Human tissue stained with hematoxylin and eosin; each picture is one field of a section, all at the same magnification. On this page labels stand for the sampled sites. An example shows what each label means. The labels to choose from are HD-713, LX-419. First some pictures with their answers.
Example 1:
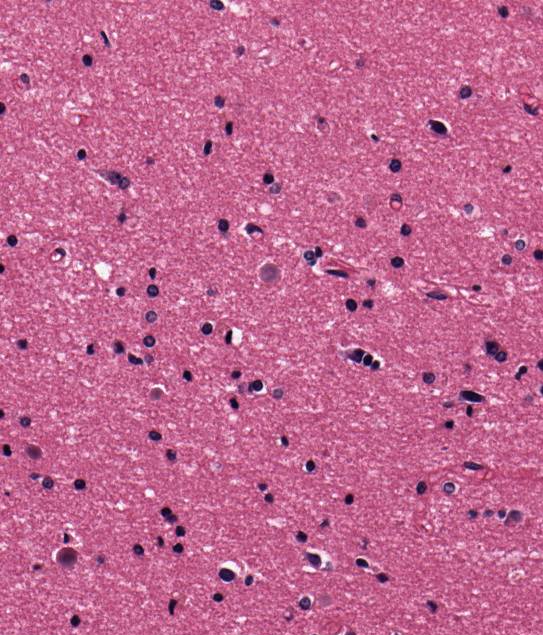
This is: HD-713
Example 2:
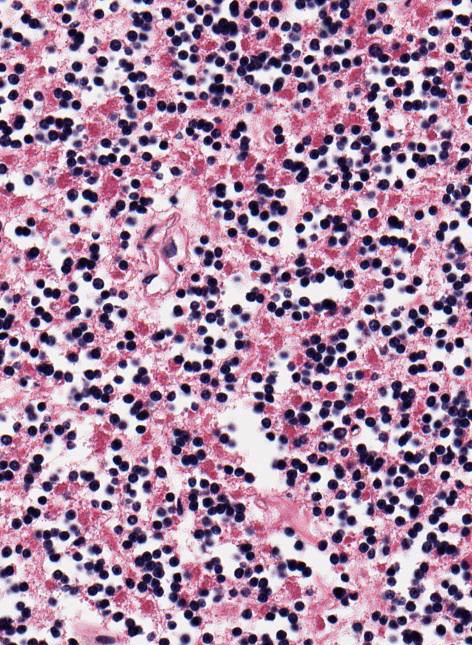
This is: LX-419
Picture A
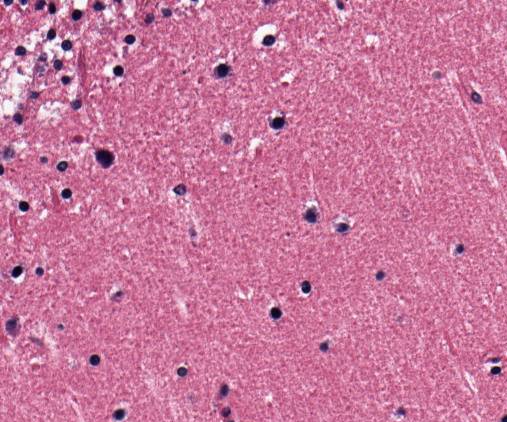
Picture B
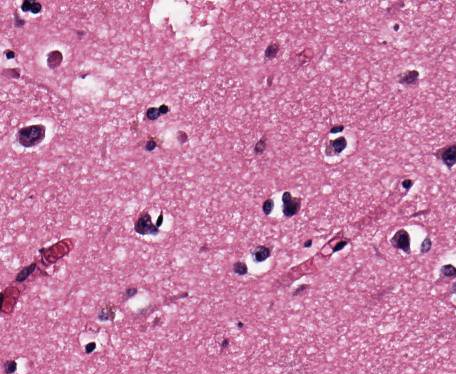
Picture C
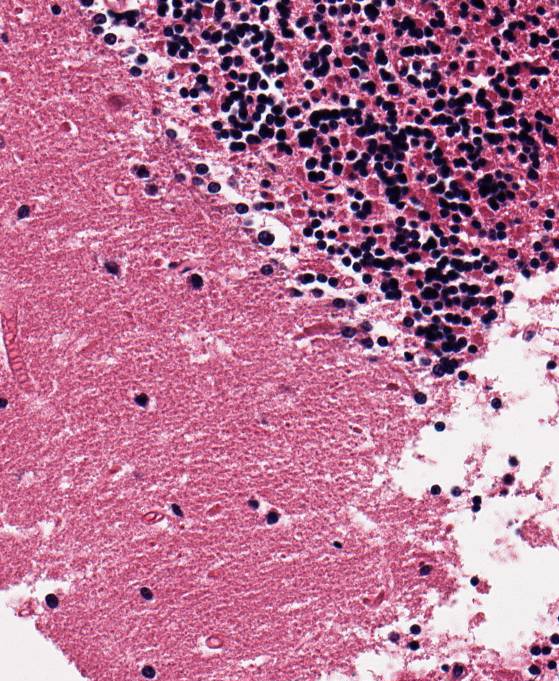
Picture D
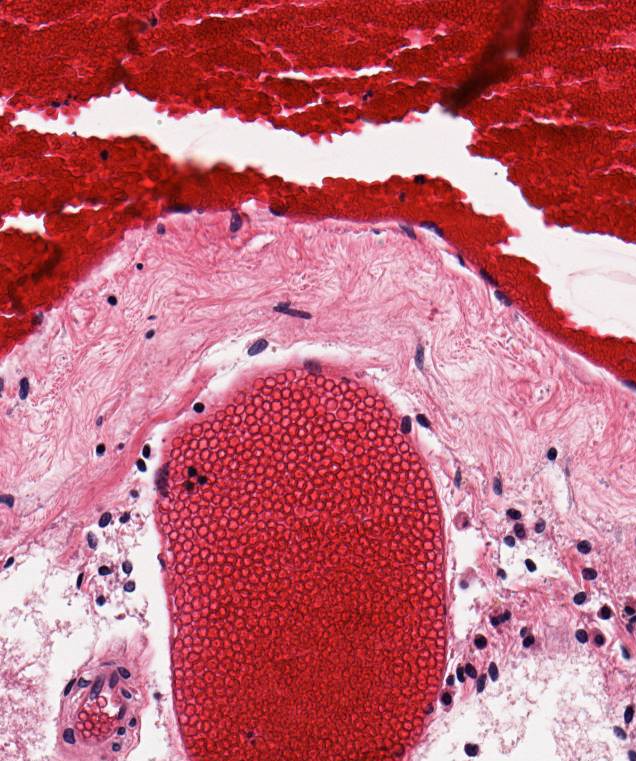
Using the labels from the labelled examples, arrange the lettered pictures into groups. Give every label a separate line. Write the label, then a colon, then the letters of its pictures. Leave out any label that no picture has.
HD-713: B
LX-419: A, C, D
